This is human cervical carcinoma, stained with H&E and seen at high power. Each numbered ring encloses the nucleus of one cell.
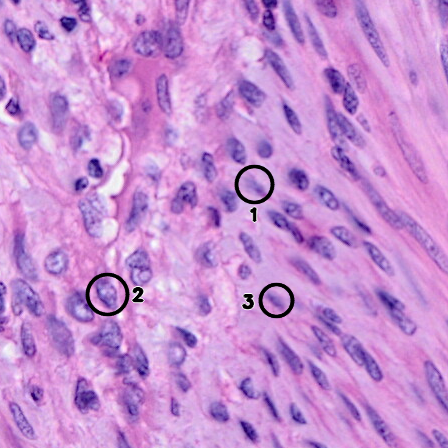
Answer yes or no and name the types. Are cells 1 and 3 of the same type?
No, that is not right: cell 1 is a fibroblast and cell 3 is a smooth muscle cell.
